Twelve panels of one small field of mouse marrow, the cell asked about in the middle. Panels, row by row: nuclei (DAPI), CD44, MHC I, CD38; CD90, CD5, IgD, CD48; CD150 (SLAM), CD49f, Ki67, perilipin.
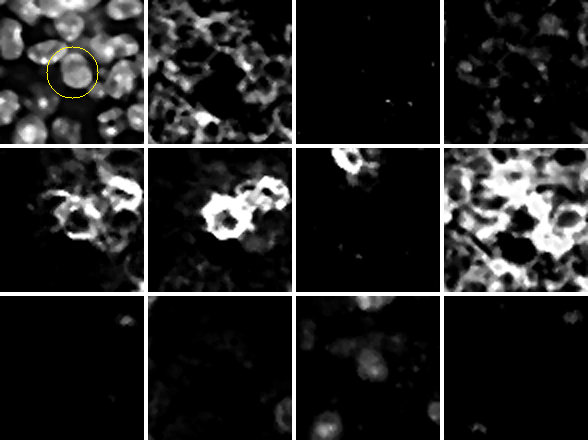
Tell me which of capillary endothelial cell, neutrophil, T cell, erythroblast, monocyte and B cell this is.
The picture shows a T cell.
